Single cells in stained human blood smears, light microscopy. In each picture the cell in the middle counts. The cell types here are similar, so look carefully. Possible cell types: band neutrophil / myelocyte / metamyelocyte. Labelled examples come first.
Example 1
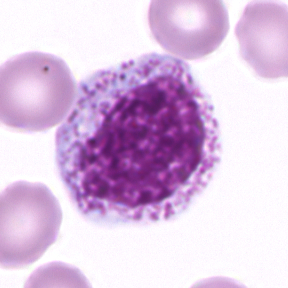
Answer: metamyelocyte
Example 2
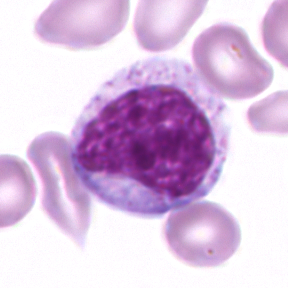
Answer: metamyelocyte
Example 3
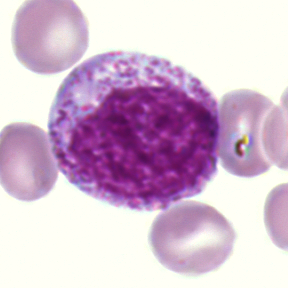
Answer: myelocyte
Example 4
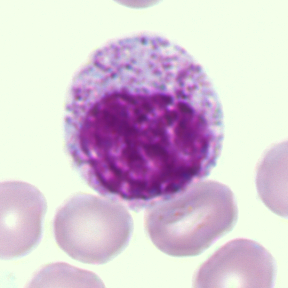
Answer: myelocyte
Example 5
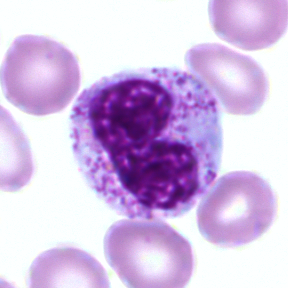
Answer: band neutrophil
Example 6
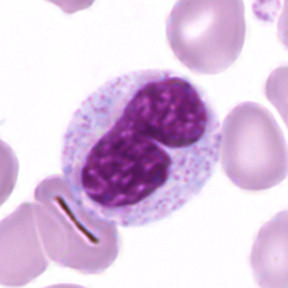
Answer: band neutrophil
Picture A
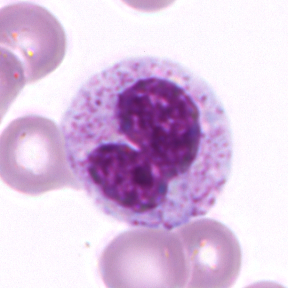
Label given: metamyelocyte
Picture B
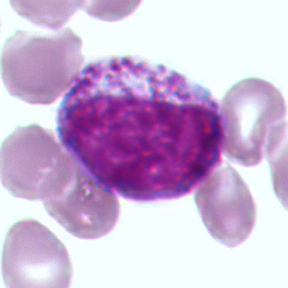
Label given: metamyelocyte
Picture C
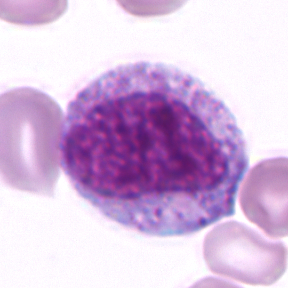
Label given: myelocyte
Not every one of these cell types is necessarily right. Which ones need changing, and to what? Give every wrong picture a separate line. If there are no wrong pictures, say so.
Wrong: A (metamyelocyte); correct: band neutrophil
